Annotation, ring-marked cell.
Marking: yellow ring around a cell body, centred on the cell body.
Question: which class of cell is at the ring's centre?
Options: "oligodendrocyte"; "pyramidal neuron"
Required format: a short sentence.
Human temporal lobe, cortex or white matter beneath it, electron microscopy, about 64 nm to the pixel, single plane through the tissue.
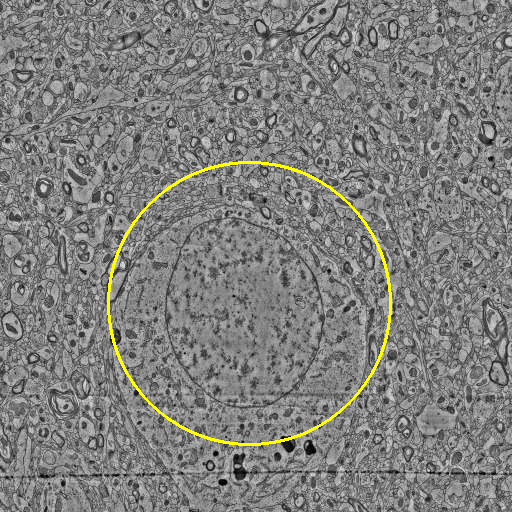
At the ring's centre is a pyramidal neuron.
